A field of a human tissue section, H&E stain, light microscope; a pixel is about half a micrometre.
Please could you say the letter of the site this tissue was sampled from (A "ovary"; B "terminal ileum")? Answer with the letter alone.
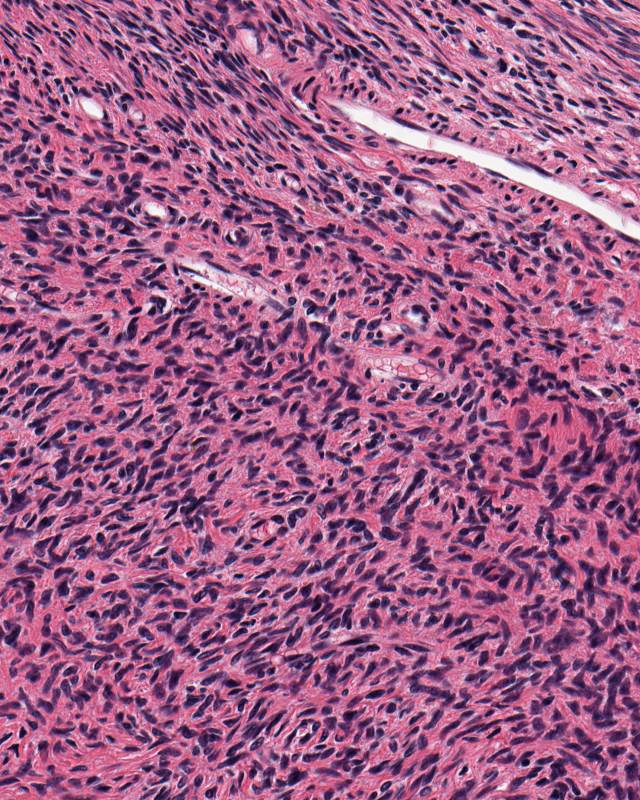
A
